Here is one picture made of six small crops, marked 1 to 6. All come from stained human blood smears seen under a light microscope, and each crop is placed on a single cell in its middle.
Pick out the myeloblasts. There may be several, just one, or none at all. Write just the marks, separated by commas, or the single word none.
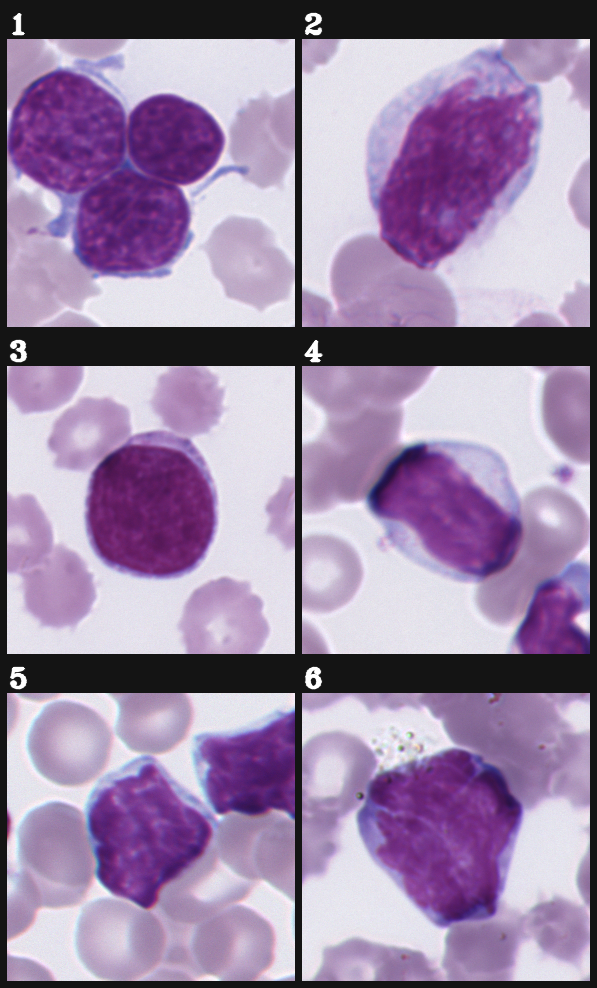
1, 2, 3, 6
